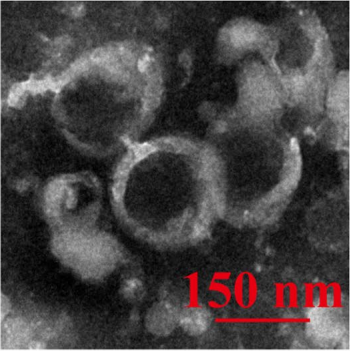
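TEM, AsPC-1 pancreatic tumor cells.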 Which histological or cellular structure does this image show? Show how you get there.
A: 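Extracellular vesicles. Several rounded, membrane-bounded vesicles lie clustered together. Each vesicle has a bright rim around a darker centre, and some look cup-shaped or collapsed. Most vesicles are on the order of the 150 nm scale bar in diameter.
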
